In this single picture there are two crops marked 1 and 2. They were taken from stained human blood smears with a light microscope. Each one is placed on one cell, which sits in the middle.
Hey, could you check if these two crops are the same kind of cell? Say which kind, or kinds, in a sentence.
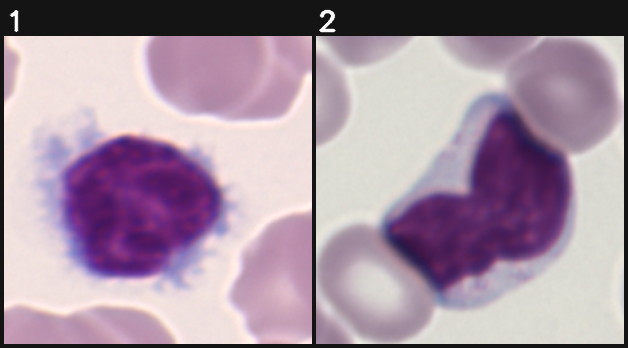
No, the cell in crop 1 is a hairy cell and the one in crop 2 is a large granular lymphocyte.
